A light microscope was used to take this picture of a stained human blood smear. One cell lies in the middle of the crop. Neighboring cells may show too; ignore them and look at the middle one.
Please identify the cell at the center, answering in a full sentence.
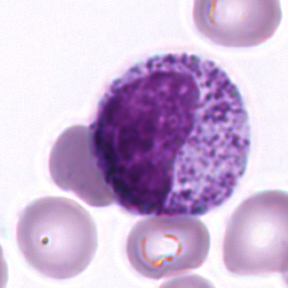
The cell around which this crop is centred is a metamyelocyte.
